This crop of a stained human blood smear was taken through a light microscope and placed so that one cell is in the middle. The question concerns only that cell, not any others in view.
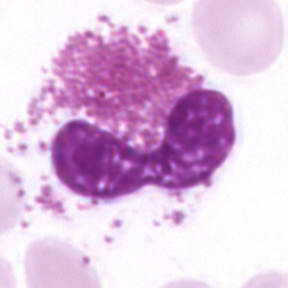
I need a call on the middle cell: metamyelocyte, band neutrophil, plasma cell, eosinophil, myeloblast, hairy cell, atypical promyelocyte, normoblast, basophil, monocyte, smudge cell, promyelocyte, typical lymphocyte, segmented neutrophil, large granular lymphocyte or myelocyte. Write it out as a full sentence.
Centred in the crop is an eosinophil.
